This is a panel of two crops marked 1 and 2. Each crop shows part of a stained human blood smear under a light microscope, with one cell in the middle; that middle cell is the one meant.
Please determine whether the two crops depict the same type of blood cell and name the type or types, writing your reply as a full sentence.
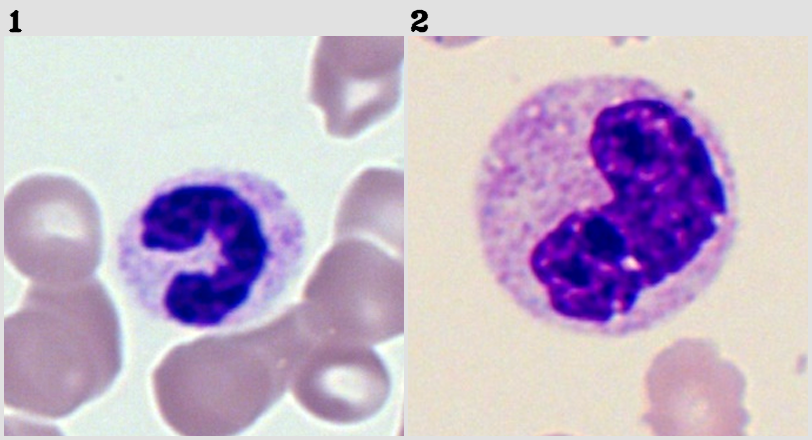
Yes, the two crops show band neutrophils at their centres.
